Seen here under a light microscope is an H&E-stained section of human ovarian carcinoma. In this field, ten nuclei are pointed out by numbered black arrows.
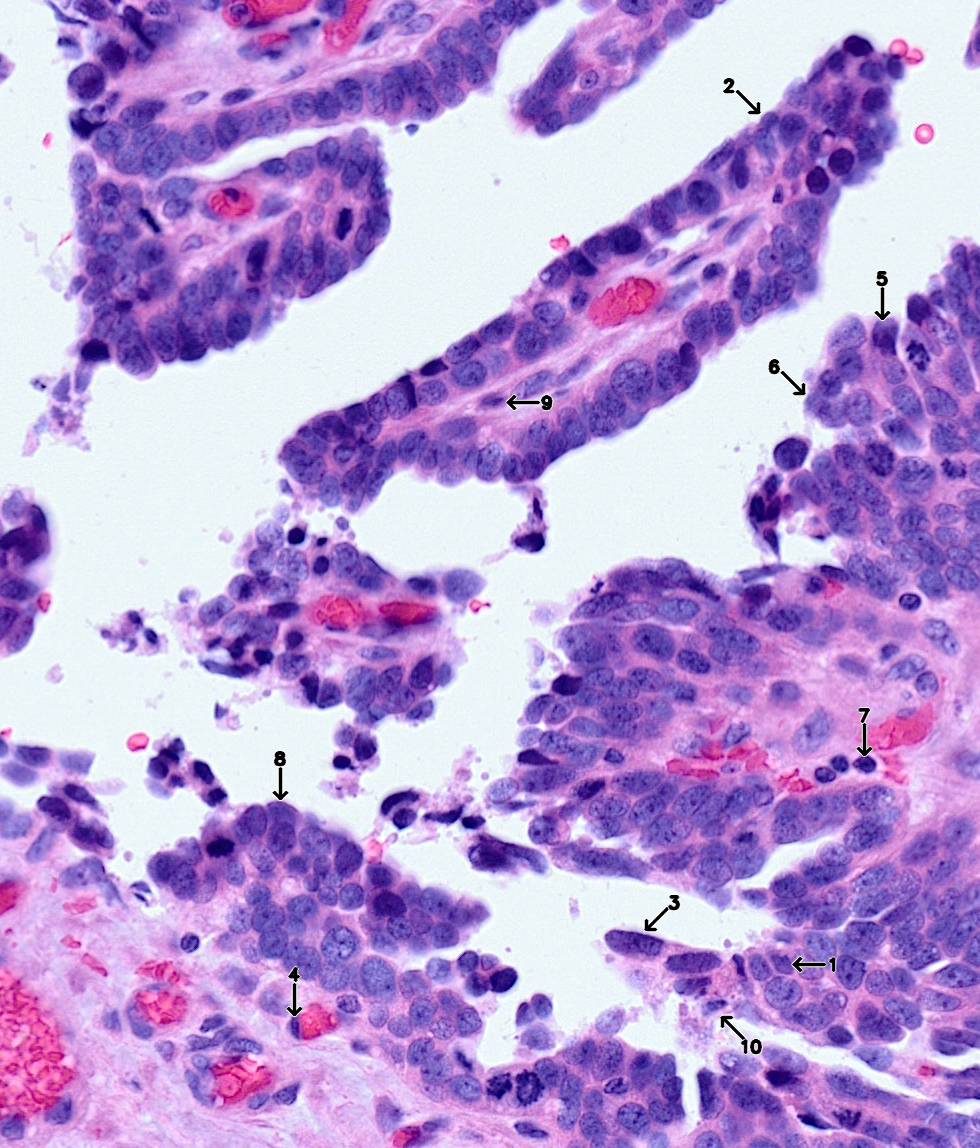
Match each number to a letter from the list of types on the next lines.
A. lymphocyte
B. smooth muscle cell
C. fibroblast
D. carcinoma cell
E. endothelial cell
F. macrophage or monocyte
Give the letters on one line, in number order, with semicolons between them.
D; D; D; E; D; D; A; D; F; F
